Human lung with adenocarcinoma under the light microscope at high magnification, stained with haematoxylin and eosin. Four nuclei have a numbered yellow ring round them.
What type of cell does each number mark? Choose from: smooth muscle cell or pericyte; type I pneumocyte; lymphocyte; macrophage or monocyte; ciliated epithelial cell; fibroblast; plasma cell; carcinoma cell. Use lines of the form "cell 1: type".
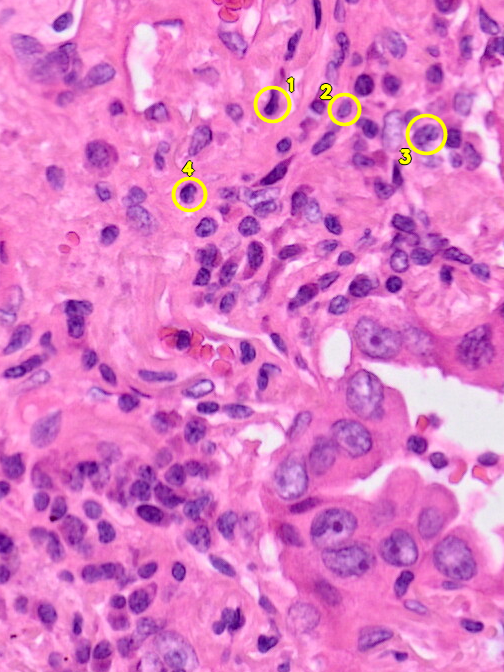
cell 1: plasma cell
cell 2: lymphocyte
cell 3: lymphocyte
cell 4: lymphocyte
